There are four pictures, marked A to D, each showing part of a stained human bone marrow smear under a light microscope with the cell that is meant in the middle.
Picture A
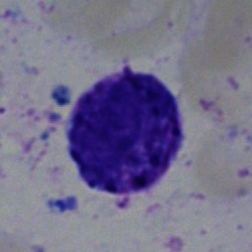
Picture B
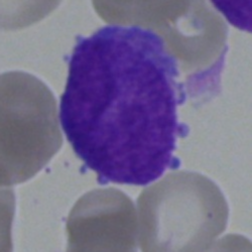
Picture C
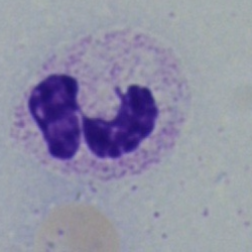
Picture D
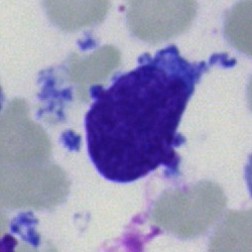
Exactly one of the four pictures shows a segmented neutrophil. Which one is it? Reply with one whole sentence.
The cell in picture C is the segmented neutrophil.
